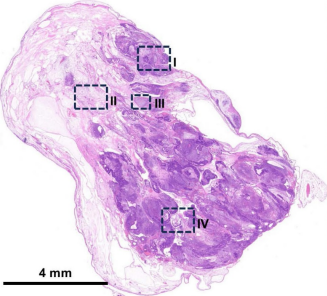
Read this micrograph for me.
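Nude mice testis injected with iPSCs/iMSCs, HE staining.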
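Low-magnification section of a teratoma: a large irregular mass made of mixed, disorganised tissues. Dense, deeply purple cellular nodules and bands are set within wide areas of pale pink, loose fibrous tissue. The nodules vary in size and outline, some cord-like, some rounded, with no regular array of uniform tubules. The edges of the mass are lobulated and loosely textured.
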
